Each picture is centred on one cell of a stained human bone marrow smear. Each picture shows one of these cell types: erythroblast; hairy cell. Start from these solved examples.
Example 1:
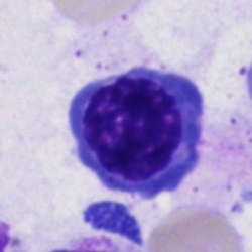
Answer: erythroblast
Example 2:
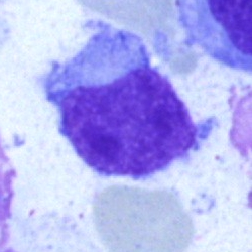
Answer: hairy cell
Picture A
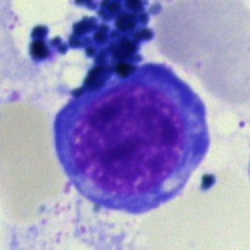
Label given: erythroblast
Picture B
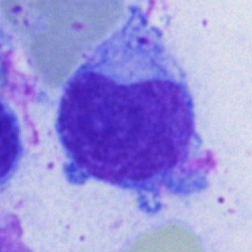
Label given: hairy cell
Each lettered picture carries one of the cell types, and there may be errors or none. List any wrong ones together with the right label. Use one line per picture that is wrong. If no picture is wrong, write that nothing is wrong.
Every label is right.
